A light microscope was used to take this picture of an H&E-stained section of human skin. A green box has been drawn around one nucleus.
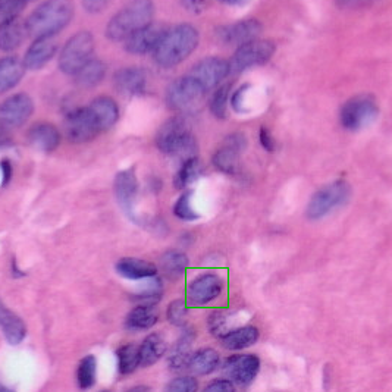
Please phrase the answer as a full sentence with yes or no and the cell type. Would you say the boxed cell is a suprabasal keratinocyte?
No, for the boxed cell the correct label is a basal keratinocyte and not a suprabasal keratinocyte.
